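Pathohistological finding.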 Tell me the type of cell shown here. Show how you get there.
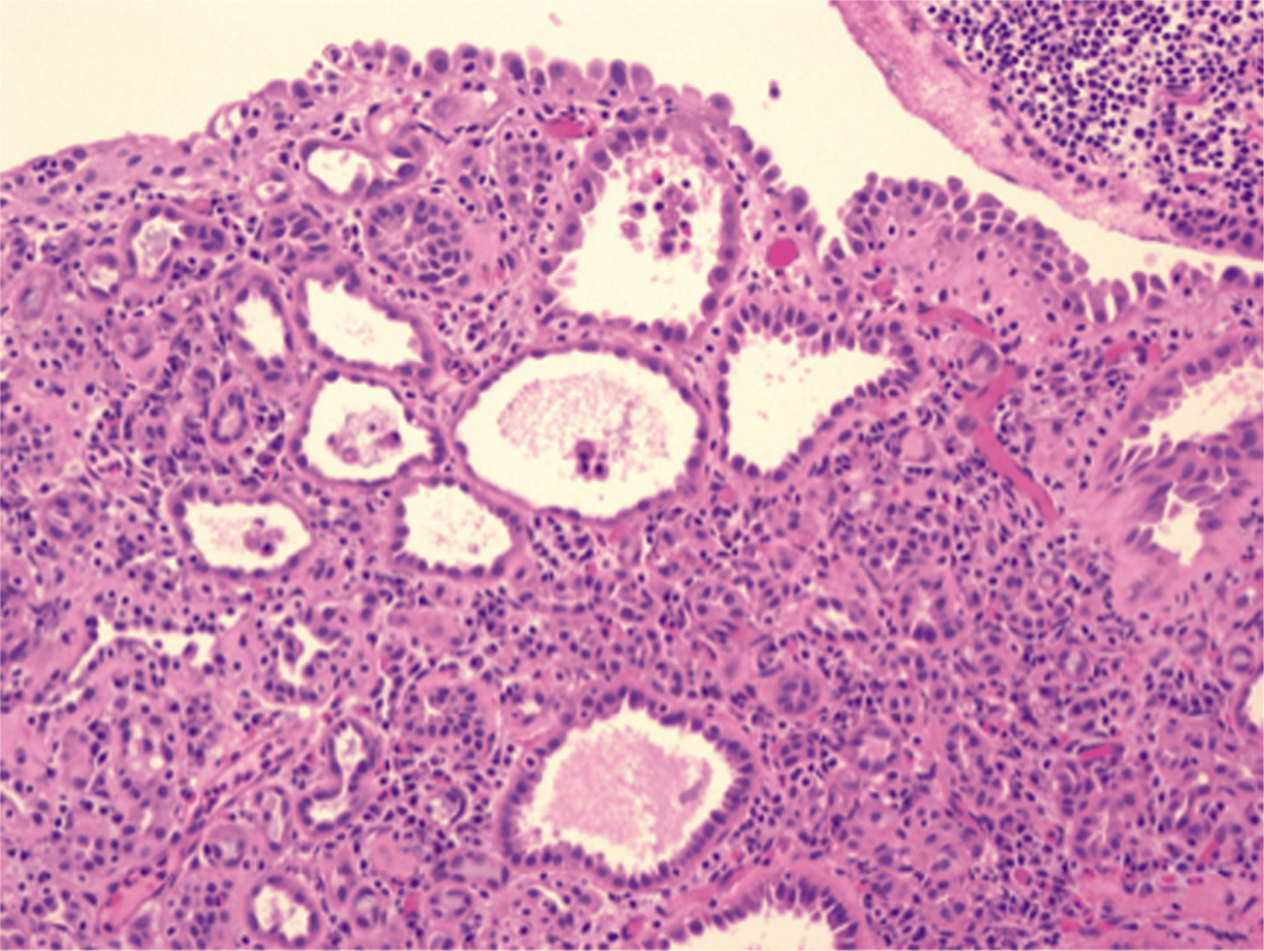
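The tubules and cysts are lined by one row of cells. The lining cells are about as tall as they are wide, with round nuclei. That points to this answer: cuboidal cells.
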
